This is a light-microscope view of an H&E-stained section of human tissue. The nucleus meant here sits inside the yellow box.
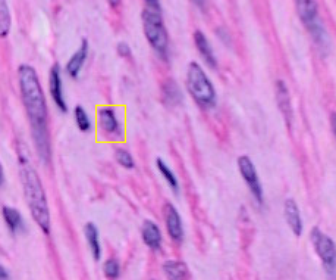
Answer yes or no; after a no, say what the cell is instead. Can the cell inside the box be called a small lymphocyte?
No, it is a smooth muscle cell.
